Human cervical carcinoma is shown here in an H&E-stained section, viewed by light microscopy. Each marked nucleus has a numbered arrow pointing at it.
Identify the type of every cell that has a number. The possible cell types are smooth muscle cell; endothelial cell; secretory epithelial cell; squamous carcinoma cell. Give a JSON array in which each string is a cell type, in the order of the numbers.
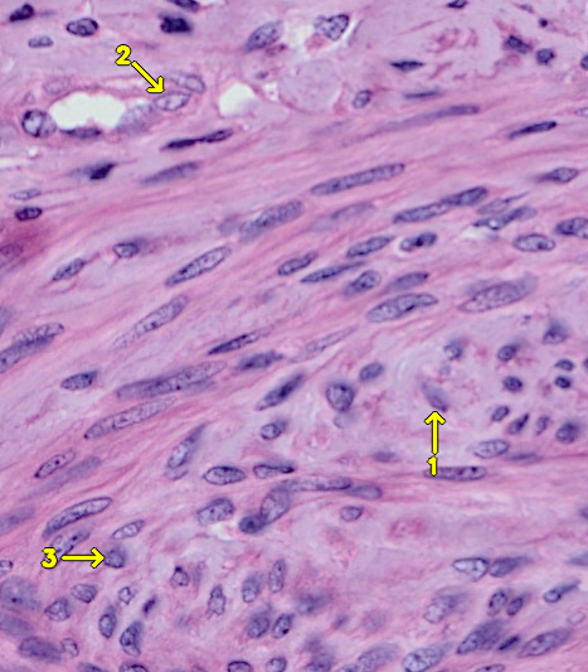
["smooth muscle cell", "endothelial cell", "smooth muscle cell"]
